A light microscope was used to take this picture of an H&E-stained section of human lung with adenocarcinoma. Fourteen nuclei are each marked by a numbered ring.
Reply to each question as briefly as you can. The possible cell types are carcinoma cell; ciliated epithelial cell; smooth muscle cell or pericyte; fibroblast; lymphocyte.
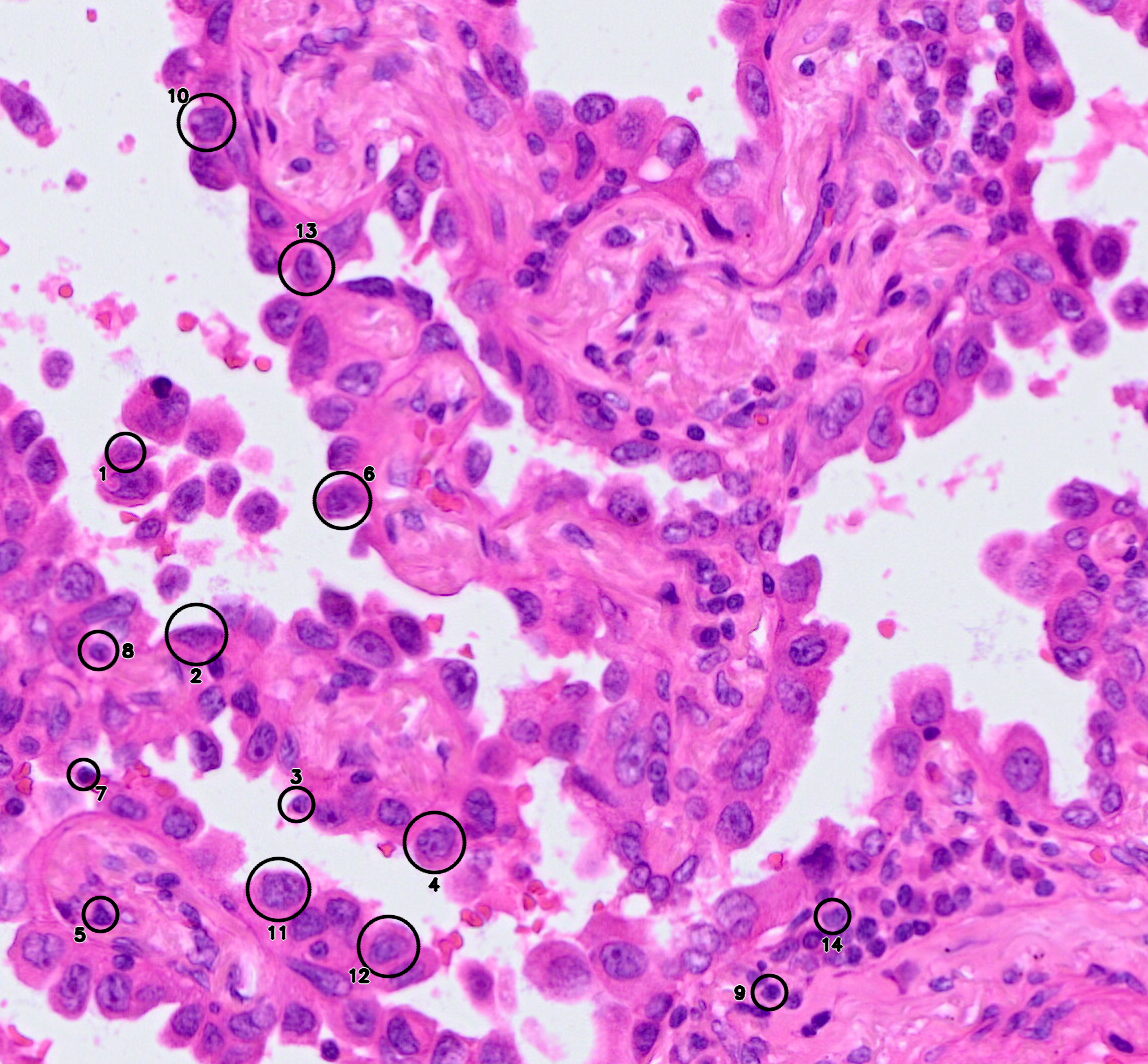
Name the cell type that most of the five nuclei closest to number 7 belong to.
carcinoma cell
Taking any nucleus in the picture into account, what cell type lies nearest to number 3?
carcinoma cell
